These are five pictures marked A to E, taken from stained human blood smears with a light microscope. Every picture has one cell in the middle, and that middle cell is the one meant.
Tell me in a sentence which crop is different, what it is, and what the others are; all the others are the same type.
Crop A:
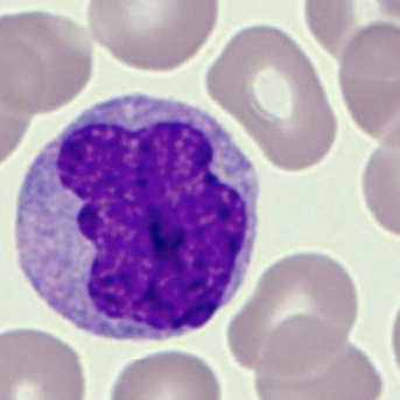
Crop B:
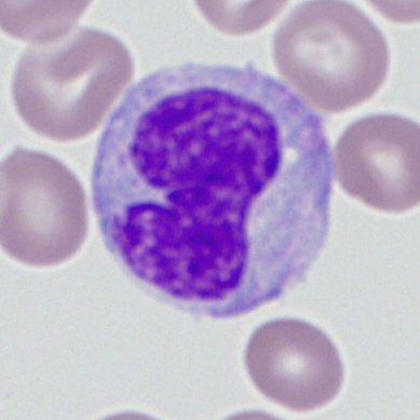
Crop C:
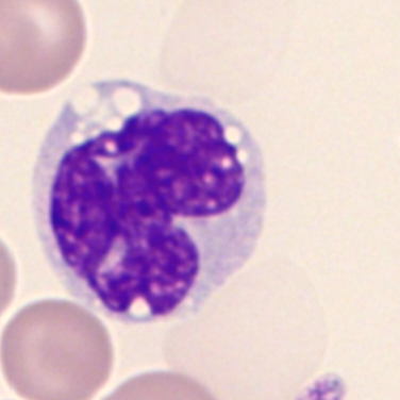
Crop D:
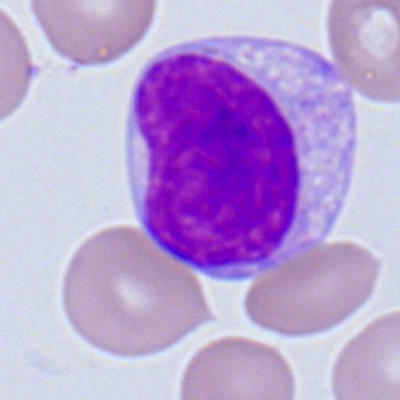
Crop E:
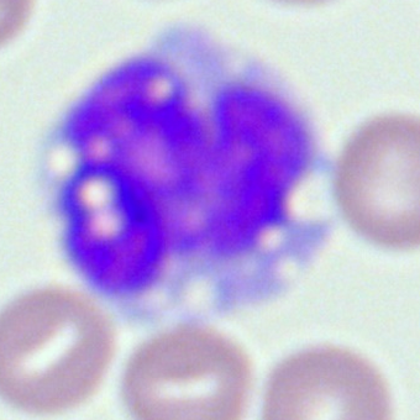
Crop D differs, its cell being a lymphocyte, whereas the other crops show monocytes.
